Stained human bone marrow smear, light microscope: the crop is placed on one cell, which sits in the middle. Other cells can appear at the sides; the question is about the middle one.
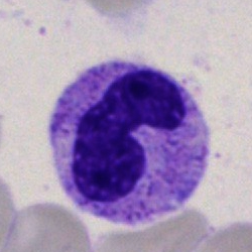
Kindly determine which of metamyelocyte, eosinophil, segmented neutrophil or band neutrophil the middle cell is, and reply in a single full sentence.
The cell in the exact centre of the crop is a band neutrophil.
